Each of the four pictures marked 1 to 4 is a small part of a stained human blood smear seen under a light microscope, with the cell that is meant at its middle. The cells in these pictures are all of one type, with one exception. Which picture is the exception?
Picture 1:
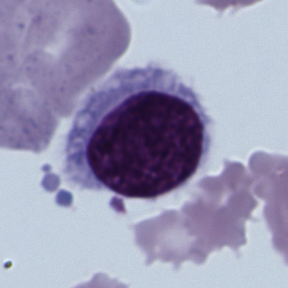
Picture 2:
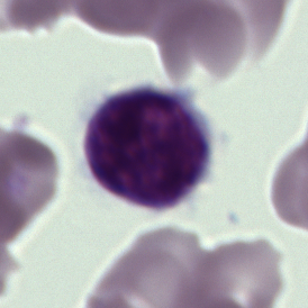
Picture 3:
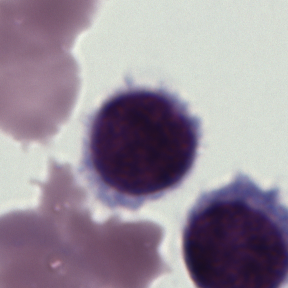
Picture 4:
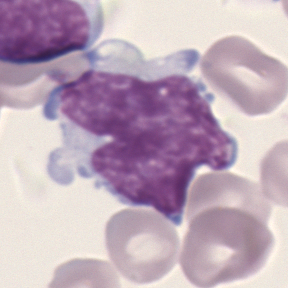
4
